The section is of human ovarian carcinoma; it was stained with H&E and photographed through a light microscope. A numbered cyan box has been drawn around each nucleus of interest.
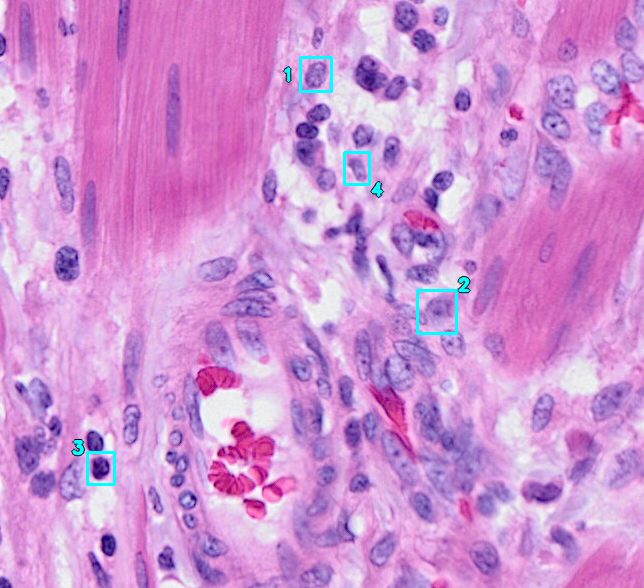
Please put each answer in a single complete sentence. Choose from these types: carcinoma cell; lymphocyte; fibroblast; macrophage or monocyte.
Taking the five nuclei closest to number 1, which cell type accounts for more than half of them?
Lymphocytes make up most of the five nuclei closest to number 1.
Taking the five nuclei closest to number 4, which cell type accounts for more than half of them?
Macrophages or monocytes account for more than half of the five nuclei nearest to number 4.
